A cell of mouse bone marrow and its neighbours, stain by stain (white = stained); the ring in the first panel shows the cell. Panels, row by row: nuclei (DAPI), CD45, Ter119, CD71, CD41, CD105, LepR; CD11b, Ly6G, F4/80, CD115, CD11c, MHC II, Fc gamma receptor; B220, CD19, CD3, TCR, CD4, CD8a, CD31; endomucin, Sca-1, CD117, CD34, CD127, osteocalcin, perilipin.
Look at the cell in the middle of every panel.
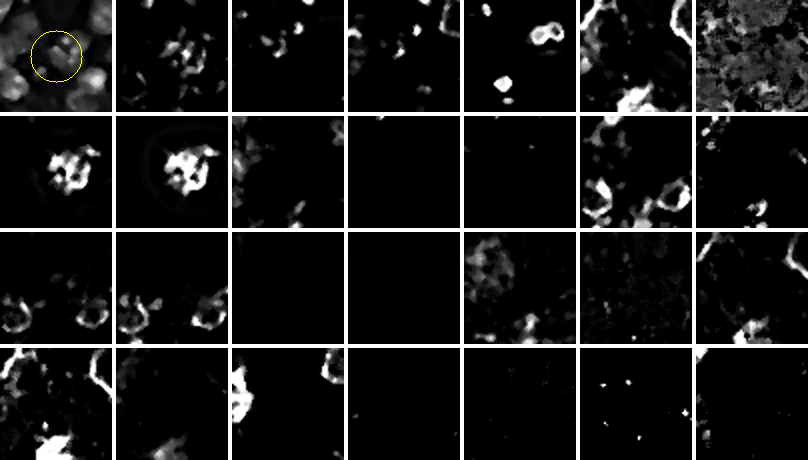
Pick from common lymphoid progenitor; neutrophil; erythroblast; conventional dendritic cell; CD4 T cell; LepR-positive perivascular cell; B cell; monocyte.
neutrophil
